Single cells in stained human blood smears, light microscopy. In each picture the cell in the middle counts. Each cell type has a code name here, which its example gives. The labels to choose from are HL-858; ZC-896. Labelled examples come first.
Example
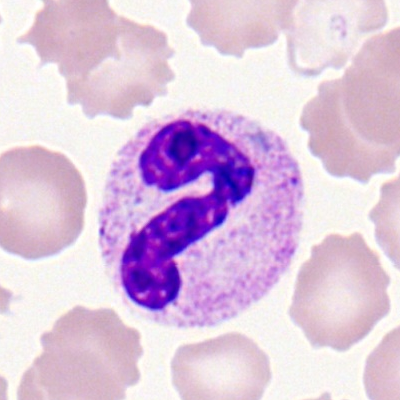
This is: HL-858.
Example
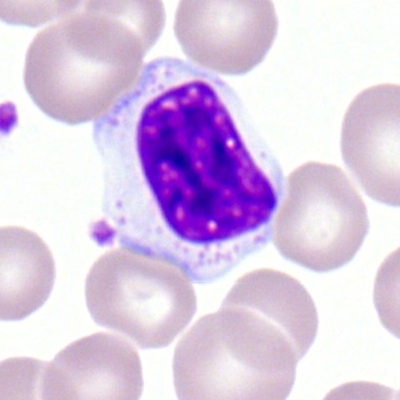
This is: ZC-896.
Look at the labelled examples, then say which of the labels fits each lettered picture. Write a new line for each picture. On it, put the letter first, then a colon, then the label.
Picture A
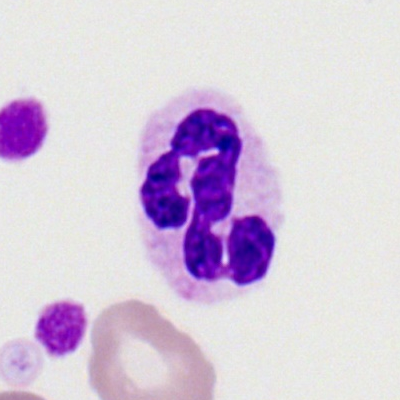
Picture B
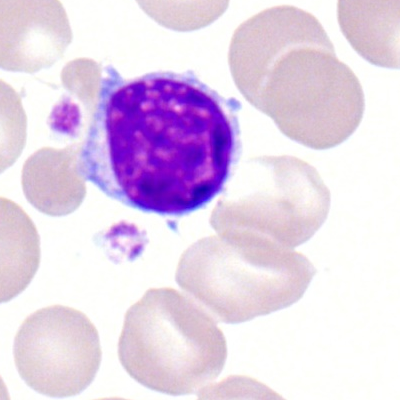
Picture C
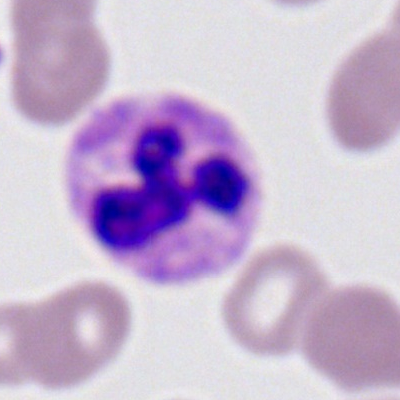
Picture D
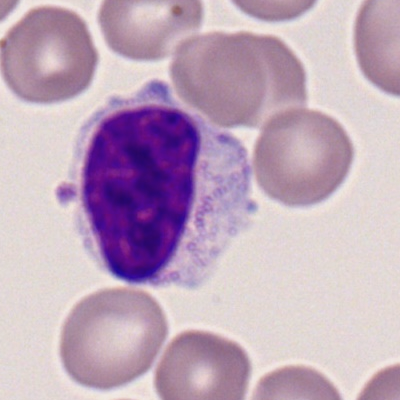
A: HL-858.
B: ZC-896.
C: HL-858.
D: ZC-896.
